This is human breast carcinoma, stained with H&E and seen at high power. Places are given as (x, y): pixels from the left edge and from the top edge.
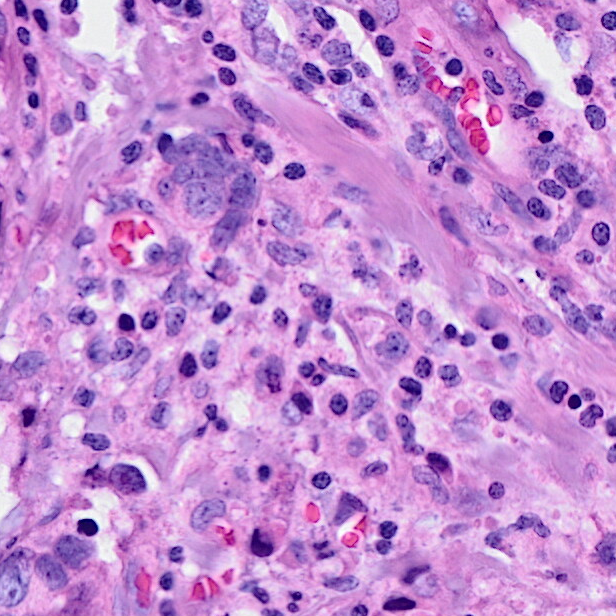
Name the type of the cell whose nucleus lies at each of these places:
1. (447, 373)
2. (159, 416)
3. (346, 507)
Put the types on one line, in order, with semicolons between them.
mast cell; macrophage, monocyte or dendritic cell; endothelial cell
